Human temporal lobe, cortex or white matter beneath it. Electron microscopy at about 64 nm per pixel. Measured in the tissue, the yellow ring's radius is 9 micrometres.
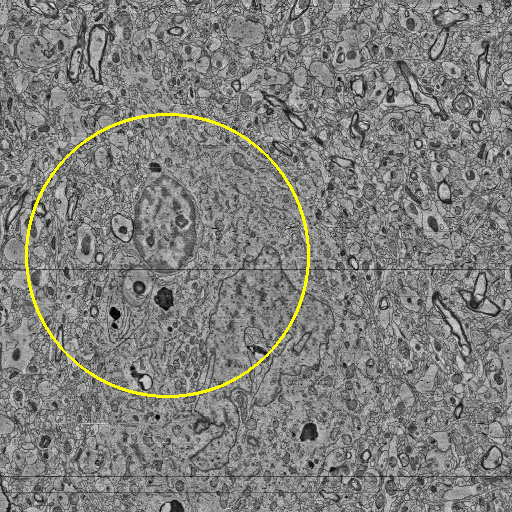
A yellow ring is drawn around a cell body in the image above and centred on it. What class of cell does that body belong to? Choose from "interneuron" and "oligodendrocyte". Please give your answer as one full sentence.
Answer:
The yellow ring above is centred on the cell body of an oligodendrocyte.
